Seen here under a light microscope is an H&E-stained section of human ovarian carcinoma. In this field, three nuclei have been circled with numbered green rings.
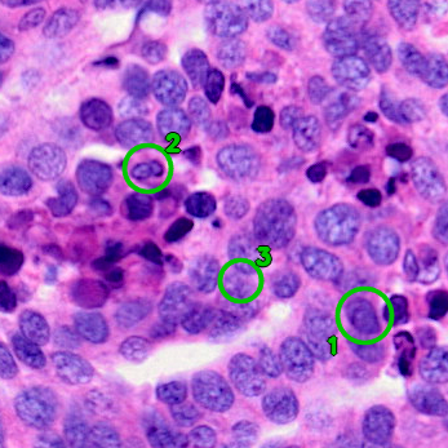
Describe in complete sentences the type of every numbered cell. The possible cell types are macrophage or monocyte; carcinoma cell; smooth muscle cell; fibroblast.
Cells 1 and 3 are carcinoma cells. Cell 2 is a macrophage or monocyte.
